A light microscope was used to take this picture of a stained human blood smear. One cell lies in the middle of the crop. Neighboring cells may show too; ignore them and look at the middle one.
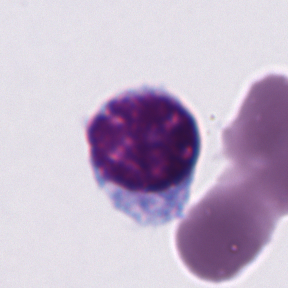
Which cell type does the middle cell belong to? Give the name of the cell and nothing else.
hairy cell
